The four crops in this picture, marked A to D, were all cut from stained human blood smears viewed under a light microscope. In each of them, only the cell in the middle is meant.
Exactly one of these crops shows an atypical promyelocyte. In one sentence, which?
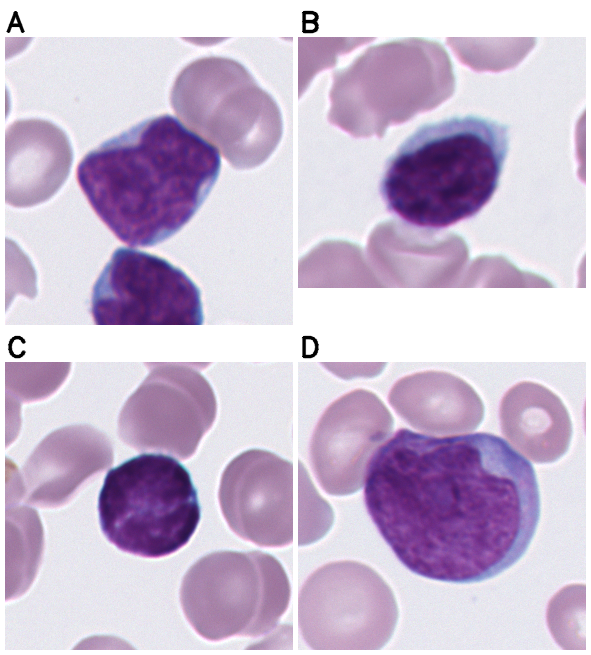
Crop D, and no other, shows an atypical promyelocyte.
